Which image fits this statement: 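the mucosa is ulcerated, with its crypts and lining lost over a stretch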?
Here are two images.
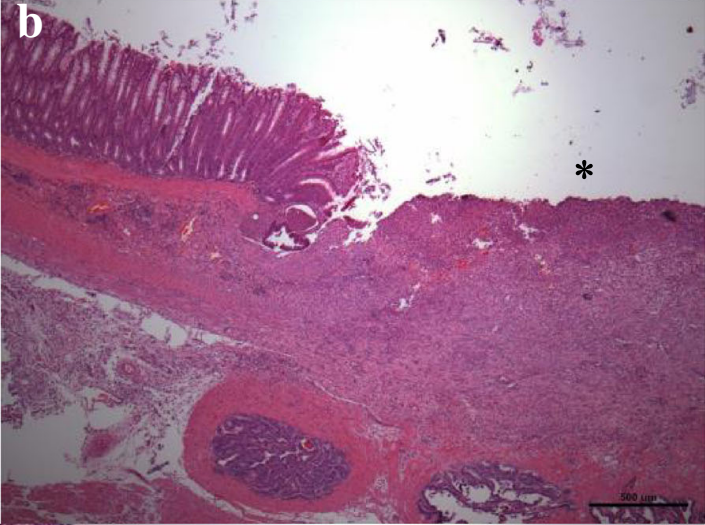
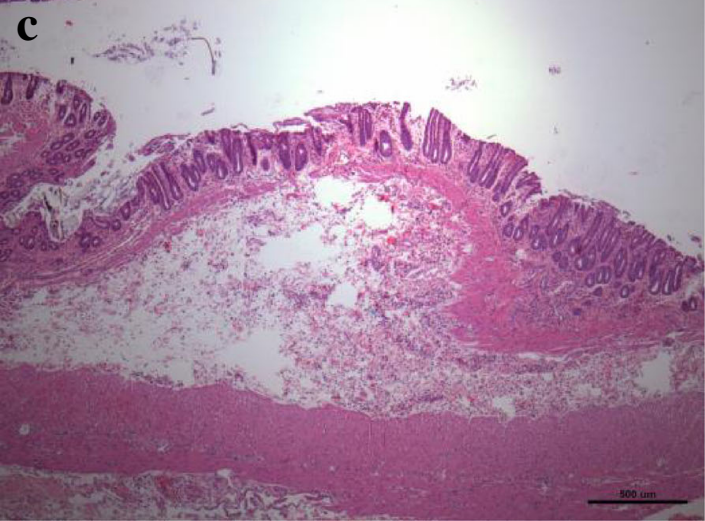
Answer: the first image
